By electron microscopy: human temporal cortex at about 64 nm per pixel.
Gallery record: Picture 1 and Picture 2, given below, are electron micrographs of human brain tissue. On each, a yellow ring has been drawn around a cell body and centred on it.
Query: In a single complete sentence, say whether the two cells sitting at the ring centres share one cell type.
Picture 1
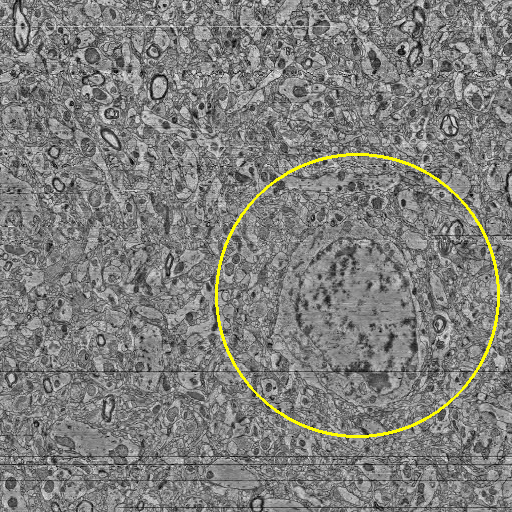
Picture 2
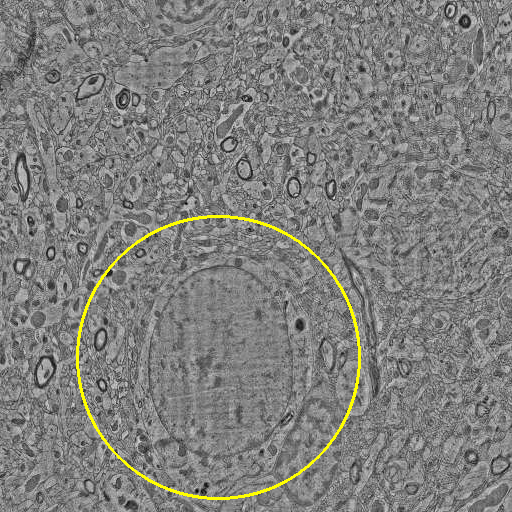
No, in the two pictures the cells at the rings' centres are of two separate types.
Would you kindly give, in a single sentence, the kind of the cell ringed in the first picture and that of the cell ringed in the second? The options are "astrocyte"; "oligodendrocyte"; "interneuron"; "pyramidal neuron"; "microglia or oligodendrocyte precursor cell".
The second cell is a pyramidal neuron, and the first cell is an interneuron.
